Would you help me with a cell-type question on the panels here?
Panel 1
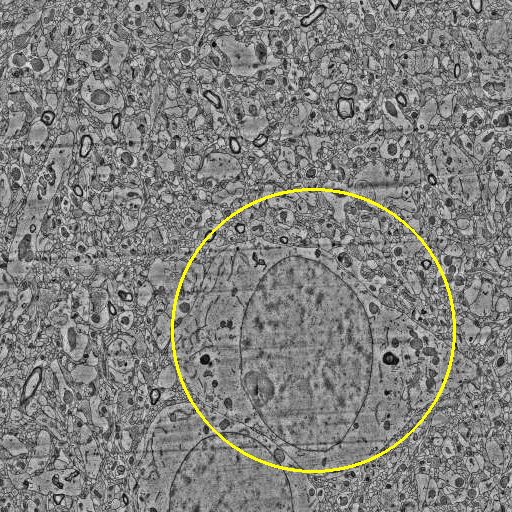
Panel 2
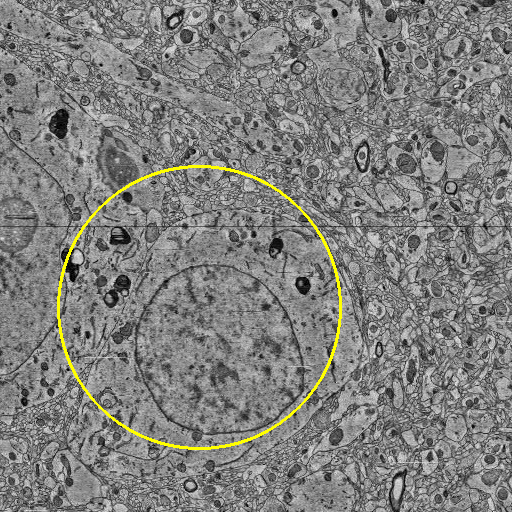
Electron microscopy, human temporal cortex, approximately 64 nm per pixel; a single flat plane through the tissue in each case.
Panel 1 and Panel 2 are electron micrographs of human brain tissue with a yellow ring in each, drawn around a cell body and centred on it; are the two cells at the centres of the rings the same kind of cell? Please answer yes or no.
yes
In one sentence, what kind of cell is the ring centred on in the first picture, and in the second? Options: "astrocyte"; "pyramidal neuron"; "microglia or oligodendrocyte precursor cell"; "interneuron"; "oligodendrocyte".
In each of the two pictures, the ringed cell is a pyramidal neuron.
